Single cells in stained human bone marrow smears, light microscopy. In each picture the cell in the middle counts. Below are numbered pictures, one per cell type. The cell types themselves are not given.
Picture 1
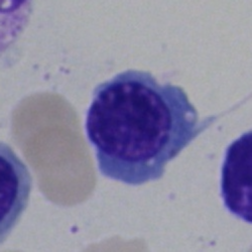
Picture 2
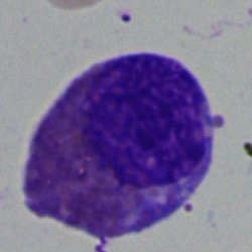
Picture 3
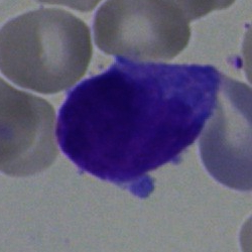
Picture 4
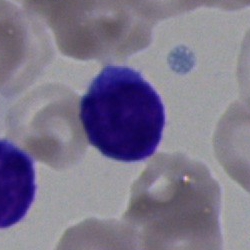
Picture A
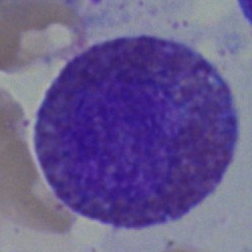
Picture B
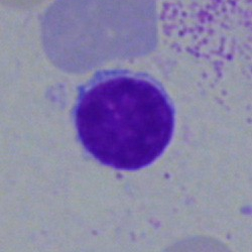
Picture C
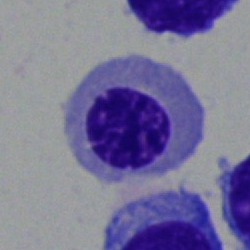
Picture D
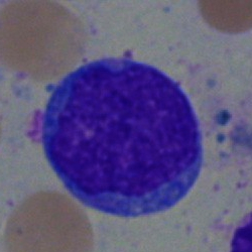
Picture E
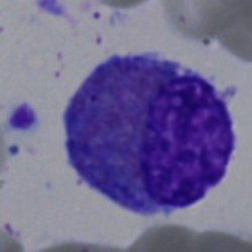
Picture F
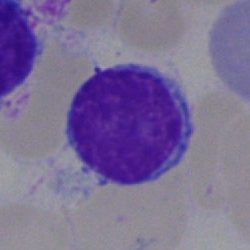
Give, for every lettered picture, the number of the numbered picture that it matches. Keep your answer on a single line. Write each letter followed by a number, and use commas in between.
A 2, B 4, C 1, D 3, E 2, F 4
